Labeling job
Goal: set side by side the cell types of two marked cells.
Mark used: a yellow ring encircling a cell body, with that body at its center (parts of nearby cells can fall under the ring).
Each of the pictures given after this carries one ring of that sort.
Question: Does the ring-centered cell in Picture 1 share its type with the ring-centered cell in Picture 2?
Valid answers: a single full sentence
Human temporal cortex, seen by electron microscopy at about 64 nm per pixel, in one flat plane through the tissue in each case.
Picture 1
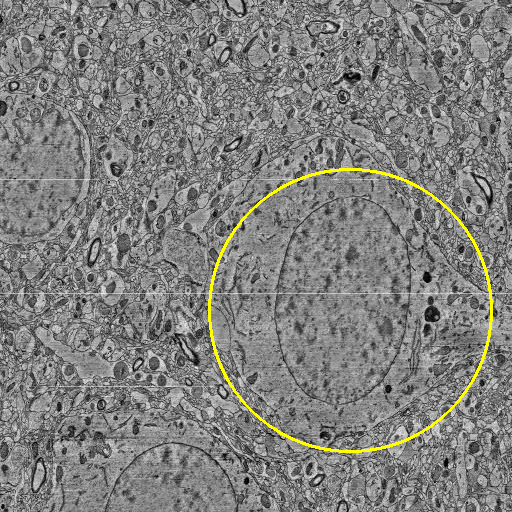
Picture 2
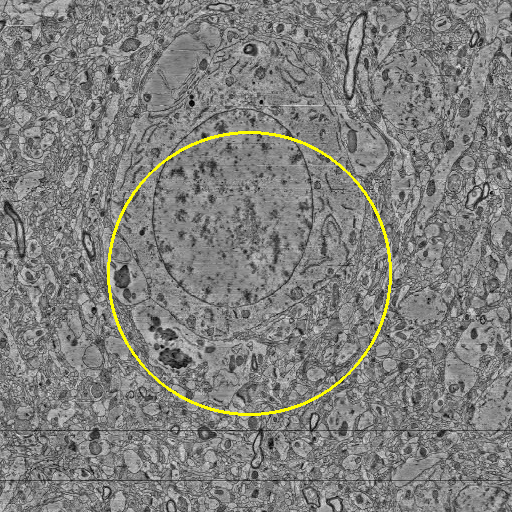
Yes, in Pictures 1 and 2 the cells at the ring centers share one type.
